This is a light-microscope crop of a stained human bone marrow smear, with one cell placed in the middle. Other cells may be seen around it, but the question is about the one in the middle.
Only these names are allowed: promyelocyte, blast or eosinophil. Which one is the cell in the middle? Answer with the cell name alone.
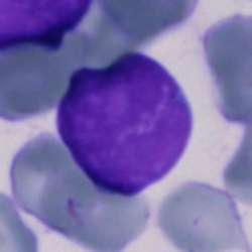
blast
